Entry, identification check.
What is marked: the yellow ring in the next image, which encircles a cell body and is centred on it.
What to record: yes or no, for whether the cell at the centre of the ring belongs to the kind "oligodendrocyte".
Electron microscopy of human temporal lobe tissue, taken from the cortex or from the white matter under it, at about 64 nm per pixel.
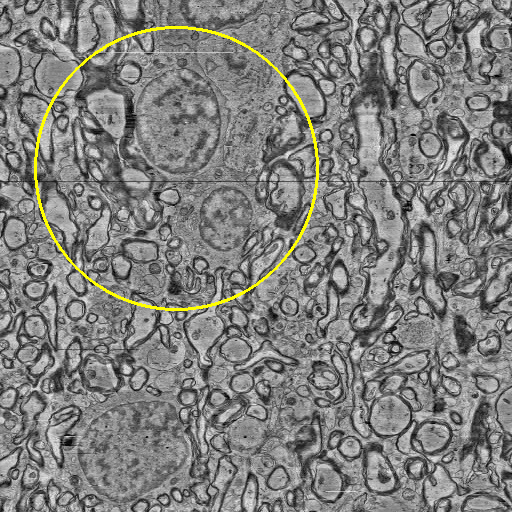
Yes, it belongs to that kind.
